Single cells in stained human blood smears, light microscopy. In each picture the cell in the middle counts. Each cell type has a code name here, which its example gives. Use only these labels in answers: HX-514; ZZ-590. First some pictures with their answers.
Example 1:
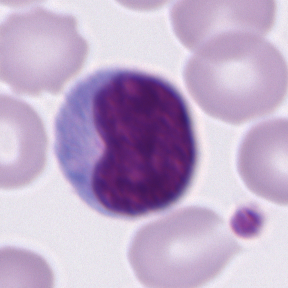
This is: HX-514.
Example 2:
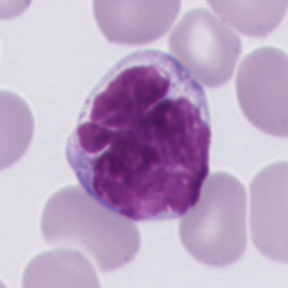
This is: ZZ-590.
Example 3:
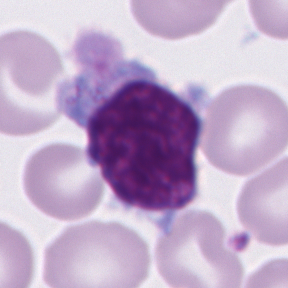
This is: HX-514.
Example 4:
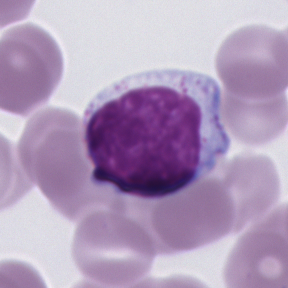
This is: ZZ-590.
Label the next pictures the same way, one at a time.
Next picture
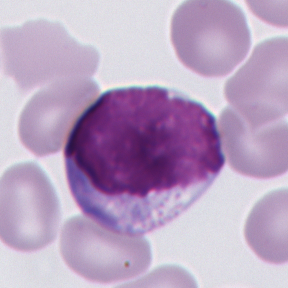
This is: ZZ-590.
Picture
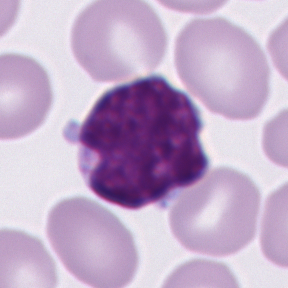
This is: HX-514.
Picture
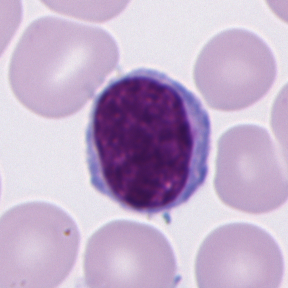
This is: HX-514.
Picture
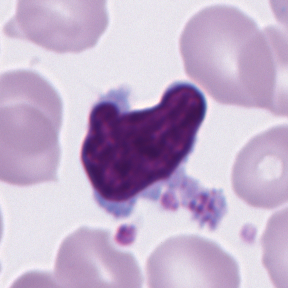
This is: HX-514.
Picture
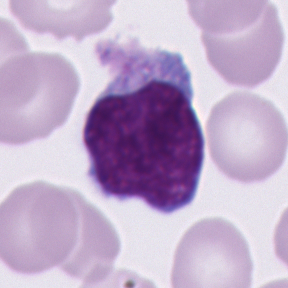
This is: HX-514.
